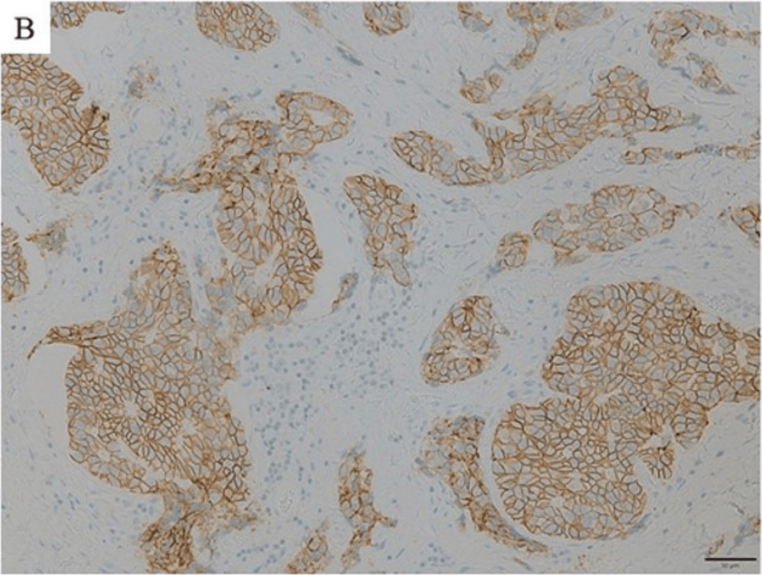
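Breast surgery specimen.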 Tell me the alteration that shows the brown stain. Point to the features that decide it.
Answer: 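Brown lines outline the full border of each tumor cell, giving a chicken-wire pattern. Cell interiors and the surrounding stroma remain pale. So: strong circumferential membrane staining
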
